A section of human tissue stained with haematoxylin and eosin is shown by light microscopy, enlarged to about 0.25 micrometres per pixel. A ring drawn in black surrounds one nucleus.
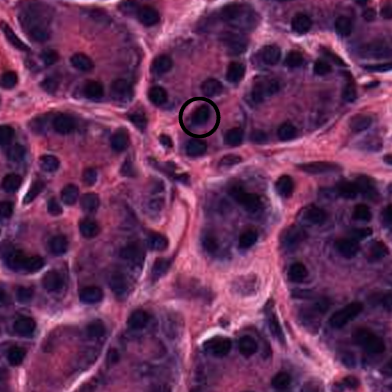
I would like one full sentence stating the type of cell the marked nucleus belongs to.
Within the picture, the marked nucleus belongs to a pancreatic acinar cell.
